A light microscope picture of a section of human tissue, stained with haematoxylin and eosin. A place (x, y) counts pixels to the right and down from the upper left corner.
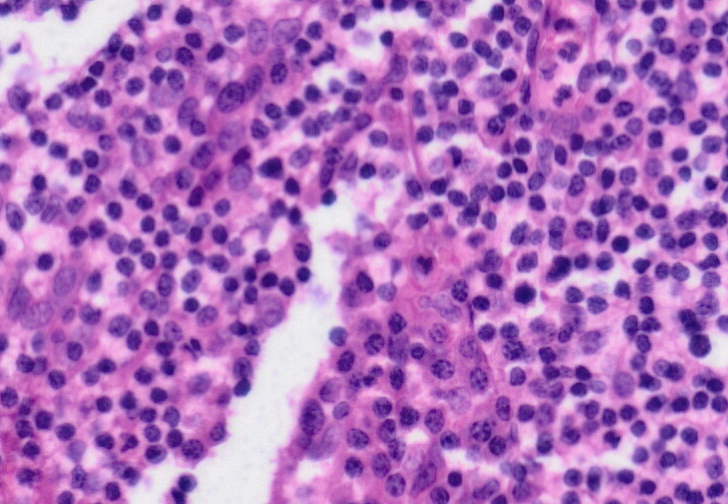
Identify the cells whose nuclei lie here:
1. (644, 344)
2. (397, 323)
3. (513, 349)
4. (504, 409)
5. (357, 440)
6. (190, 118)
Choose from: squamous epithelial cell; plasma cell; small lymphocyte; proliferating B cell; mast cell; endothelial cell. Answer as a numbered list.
1. small lymphocyte
2. plasma cell
3. plasma cell
4. plasma cell
5. plasma cell
6. squamous epithelial cell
